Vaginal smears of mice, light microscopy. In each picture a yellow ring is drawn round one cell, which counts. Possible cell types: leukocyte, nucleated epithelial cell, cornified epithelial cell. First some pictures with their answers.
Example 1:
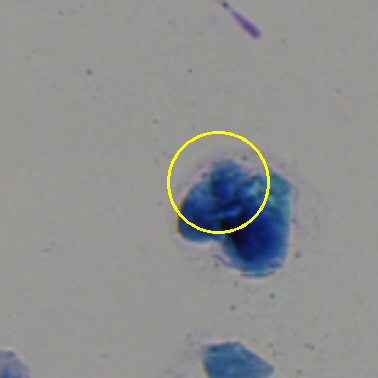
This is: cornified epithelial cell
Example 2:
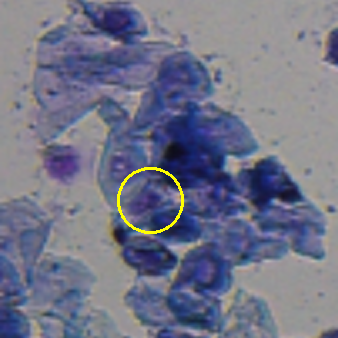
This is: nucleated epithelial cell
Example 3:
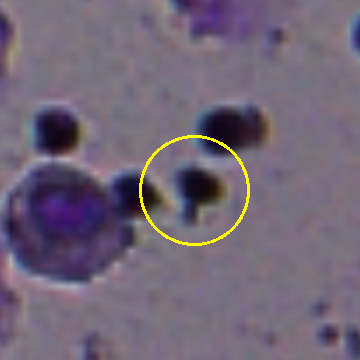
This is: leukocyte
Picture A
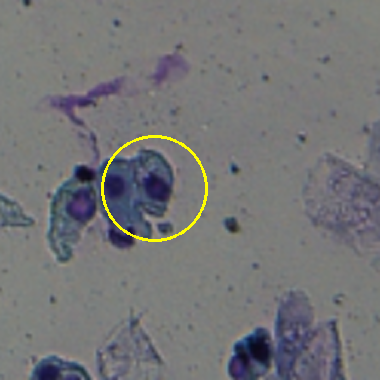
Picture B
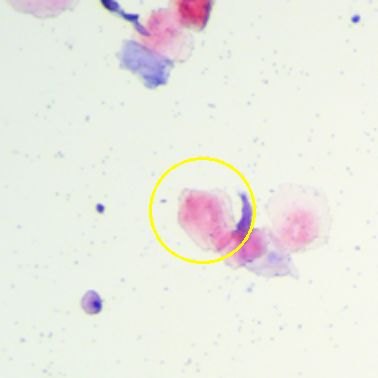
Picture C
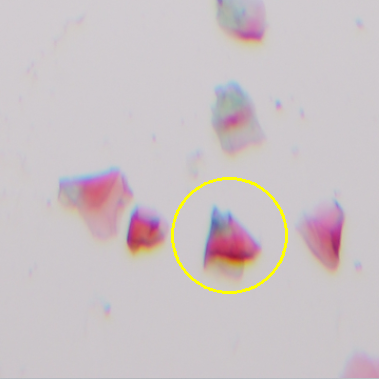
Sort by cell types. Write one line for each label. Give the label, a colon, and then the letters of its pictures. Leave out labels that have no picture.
nucleated epithelial cell: A
cornified epithelial cell: B, C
